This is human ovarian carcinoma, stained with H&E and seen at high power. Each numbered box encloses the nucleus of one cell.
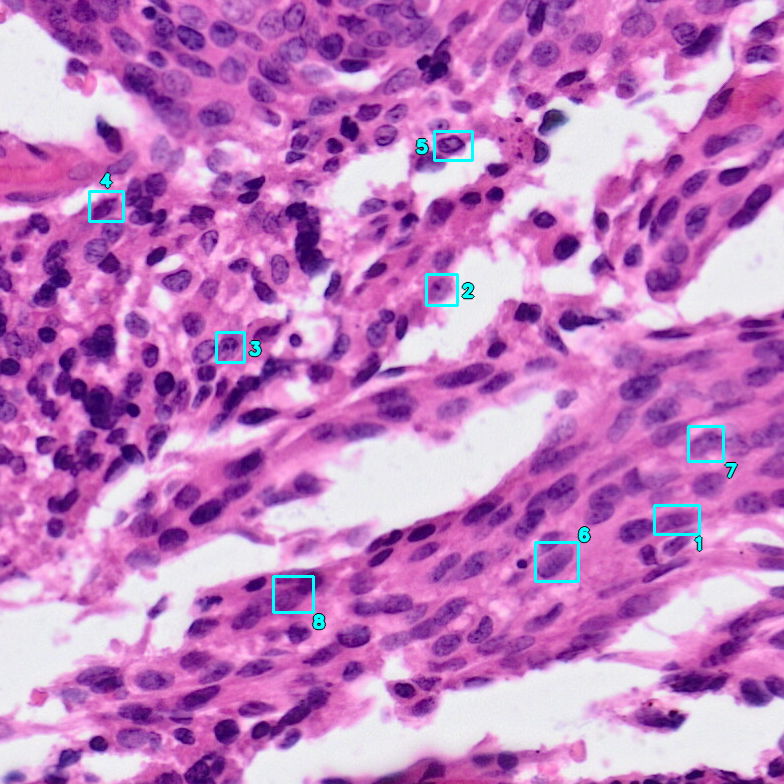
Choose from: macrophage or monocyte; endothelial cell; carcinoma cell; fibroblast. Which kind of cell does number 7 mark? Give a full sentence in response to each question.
The cell that bears the number 7 is a macrophage or monocyte.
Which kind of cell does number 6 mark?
At number 6, the marked cell is a carcinoma cell.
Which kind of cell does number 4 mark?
Marked with the number 4, this cell is a carcinoma cell.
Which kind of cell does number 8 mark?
Cell number 8 in this section is a carcinoma cell.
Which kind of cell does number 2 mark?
Cell 2 in the field is a macrophage or monocyte.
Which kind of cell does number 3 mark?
Among the marked nuclei, number 3 belongs to a macrophage or monocyte.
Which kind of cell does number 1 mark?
Of the numbered cells, the one labelled 1 is a carcinoma cell.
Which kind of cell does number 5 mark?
The cell identified by the number 5 is a macrophage or monocyte.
